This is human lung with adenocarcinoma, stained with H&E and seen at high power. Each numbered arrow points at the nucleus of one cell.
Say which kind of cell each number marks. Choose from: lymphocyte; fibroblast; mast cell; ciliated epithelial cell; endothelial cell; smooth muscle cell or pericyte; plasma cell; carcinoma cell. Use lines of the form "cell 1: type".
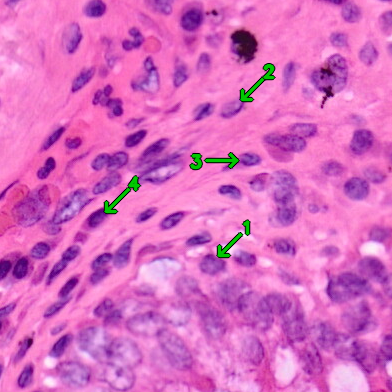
cell 1: ciliated epithelial cell
cell 2: fibroblast
cell 3: mast cell
cell 4: plasma cell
